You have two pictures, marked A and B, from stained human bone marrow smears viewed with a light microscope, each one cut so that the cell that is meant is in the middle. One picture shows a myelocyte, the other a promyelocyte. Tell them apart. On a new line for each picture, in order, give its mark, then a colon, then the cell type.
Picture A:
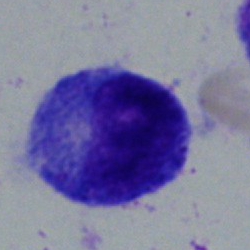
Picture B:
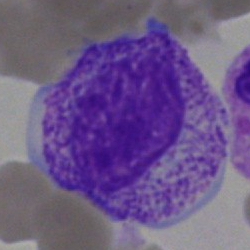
A: promyelocyte
B: myelocyte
